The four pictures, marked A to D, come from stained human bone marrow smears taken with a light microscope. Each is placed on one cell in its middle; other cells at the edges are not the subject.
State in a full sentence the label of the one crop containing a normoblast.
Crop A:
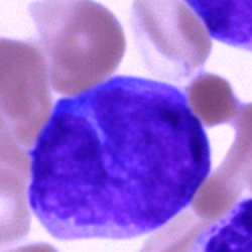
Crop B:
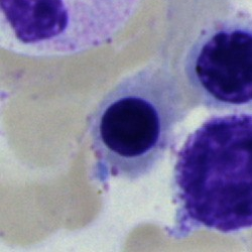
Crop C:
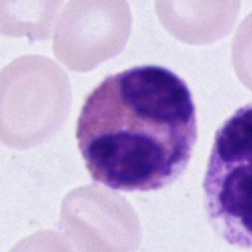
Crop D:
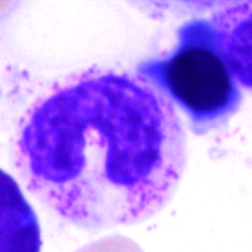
Identified crop: B, the one that shows a normoblast.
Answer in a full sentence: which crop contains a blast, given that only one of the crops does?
Among the crops given, only crop A shows a blast.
